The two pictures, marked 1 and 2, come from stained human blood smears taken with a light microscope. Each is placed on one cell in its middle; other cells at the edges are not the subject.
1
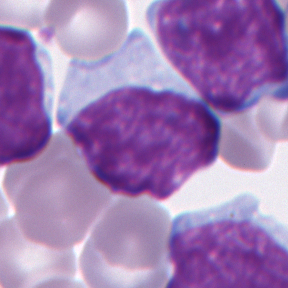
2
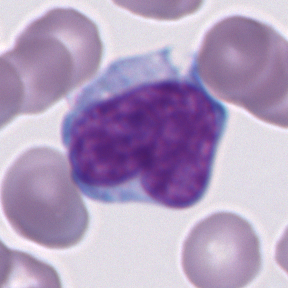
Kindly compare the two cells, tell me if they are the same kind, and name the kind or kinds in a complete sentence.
No, crop 1 displays a lymphocyte, and crop 2 displays a blast.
